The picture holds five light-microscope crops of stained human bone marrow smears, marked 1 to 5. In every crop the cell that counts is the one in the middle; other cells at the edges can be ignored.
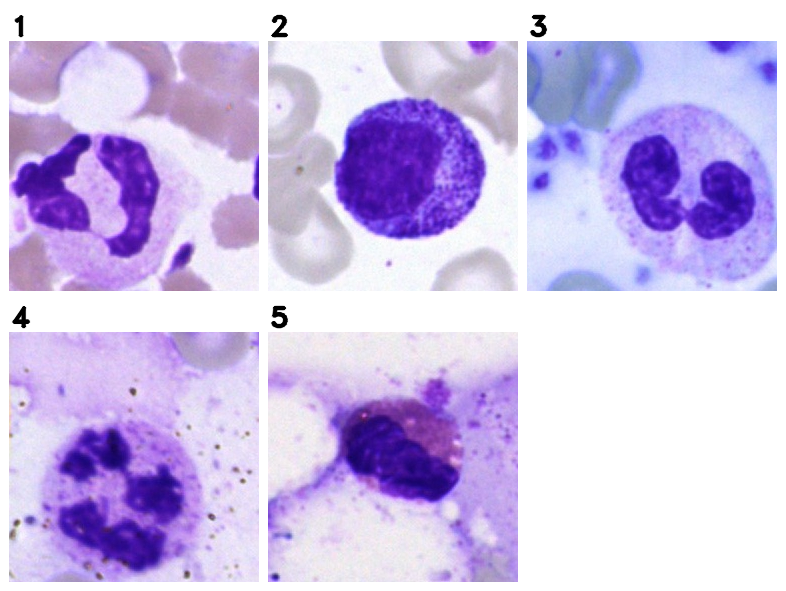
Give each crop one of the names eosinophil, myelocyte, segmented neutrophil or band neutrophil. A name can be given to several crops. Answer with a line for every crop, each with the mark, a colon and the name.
1: segmented neutrophil
2: myelocyte
3: segmented neutrophil
4: segmented neutrophil
5: eosinophil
